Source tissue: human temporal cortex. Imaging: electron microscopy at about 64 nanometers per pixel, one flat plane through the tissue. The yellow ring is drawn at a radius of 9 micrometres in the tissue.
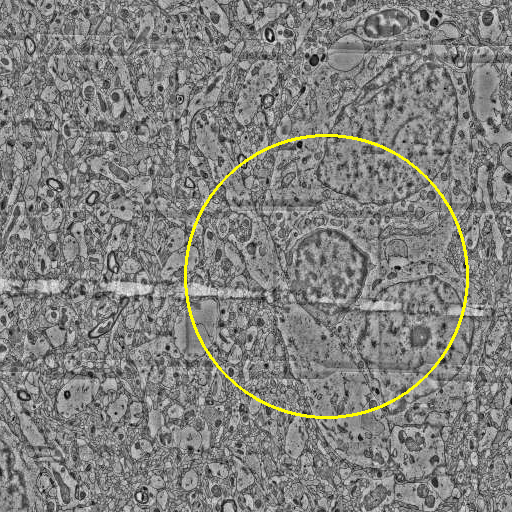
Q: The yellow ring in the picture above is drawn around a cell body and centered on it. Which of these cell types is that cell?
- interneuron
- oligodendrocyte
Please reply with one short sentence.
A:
The cell body at the ring's center belongs to an oligodendrocyte.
